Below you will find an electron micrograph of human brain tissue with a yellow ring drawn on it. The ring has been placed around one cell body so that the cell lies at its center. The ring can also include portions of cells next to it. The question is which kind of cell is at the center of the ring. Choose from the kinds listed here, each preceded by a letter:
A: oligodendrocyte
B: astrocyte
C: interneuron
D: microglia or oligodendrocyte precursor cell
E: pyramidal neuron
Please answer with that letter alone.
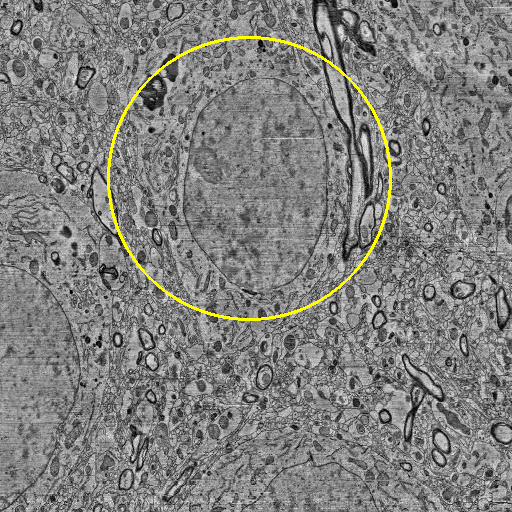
C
